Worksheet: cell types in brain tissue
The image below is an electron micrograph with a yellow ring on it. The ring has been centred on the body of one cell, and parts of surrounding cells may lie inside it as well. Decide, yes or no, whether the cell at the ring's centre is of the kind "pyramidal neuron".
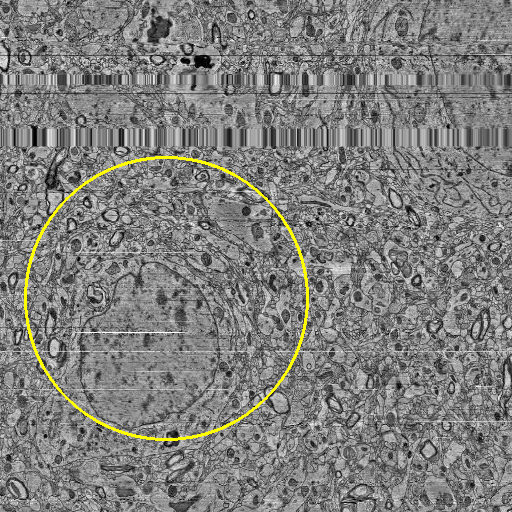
yes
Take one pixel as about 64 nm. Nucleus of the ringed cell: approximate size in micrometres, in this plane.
In this plane the nucleus spans approximately 11 by 9 micrometers.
